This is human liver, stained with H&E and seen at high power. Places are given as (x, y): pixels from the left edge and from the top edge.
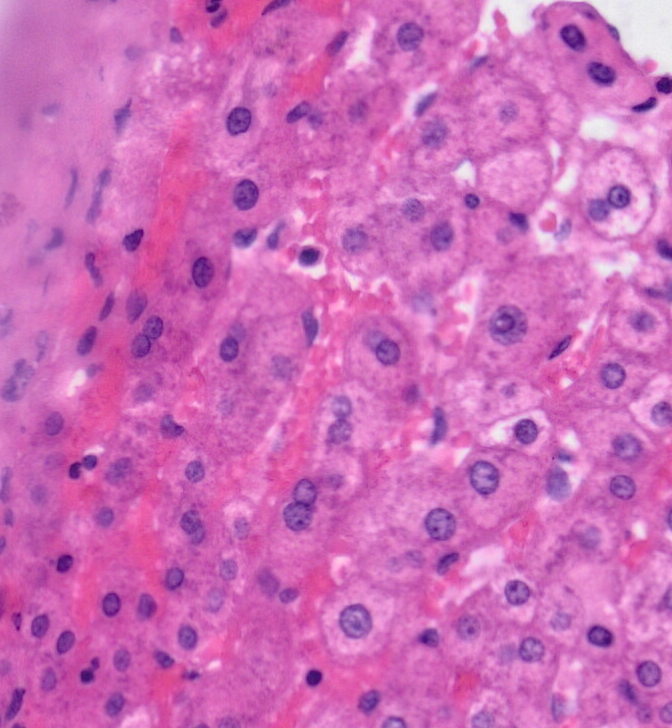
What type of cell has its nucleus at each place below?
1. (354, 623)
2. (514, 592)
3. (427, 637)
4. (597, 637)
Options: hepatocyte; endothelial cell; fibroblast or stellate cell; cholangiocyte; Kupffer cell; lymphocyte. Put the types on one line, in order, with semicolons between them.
hepatocyte; hepatocyte; fibroblast or stellate cell; hepatocyte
